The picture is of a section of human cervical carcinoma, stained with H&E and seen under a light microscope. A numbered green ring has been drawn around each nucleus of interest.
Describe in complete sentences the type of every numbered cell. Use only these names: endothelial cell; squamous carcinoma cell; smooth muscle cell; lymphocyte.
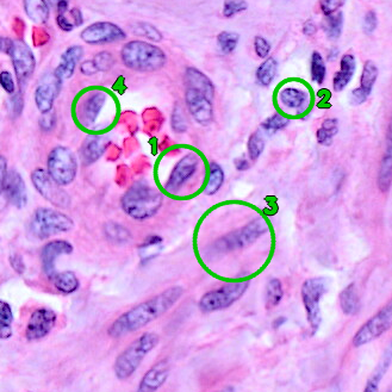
Cells 1 and 4 are endothelial cells. Cell 2 is a lymphocyte. Cell 3 is a smooth muscle cell.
